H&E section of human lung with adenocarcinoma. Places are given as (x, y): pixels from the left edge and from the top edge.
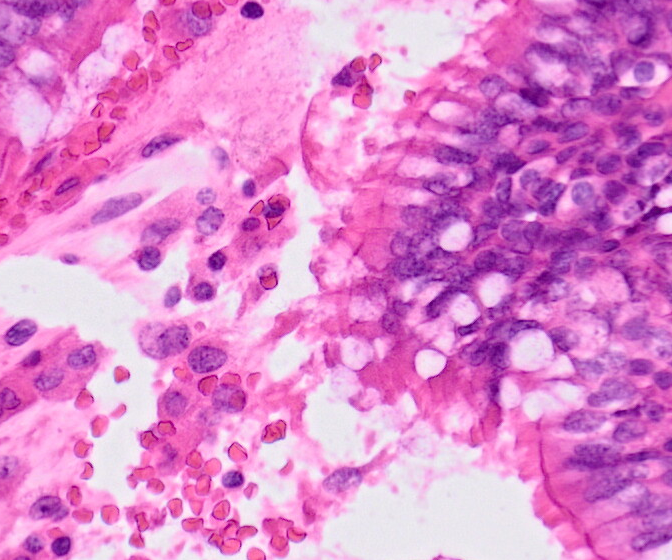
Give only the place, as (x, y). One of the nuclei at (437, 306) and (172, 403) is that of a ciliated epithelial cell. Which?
(437, 306)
